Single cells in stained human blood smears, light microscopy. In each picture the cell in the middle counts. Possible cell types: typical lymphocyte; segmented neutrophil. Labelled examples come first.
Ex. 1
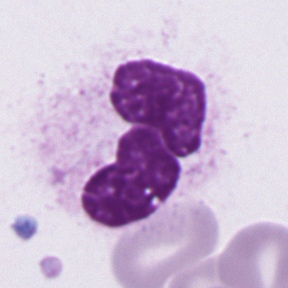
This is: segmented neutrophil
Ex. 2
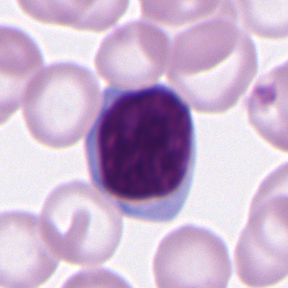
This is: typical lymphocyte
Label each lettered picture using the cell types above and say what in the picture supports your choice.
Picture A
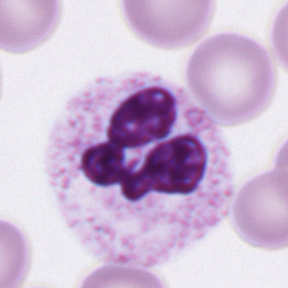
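segmented neutrophil. Evidence: The cytoplasm between the granules is pale and nearly colourless.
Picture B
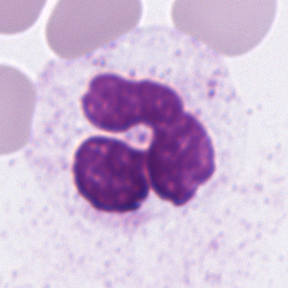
segmented neutrophil. Evidence: The cytoplasm is abundant and very pale, nearly colourless.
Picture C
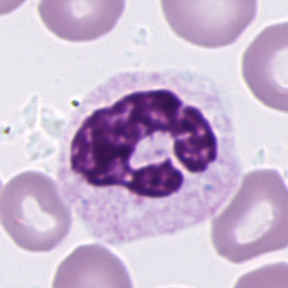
segmented neutrophil. Evidence: The nucleus is bent into a C shape around a pale central patch of cytoplasm.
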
